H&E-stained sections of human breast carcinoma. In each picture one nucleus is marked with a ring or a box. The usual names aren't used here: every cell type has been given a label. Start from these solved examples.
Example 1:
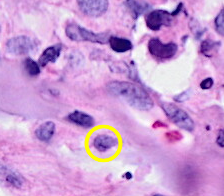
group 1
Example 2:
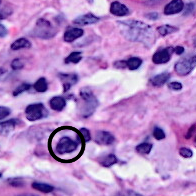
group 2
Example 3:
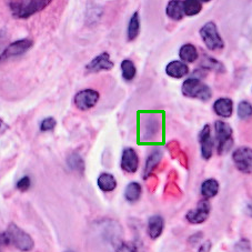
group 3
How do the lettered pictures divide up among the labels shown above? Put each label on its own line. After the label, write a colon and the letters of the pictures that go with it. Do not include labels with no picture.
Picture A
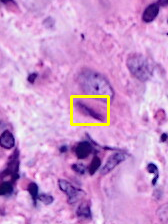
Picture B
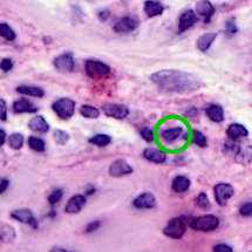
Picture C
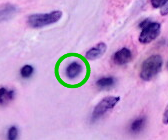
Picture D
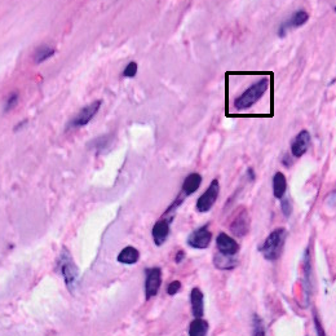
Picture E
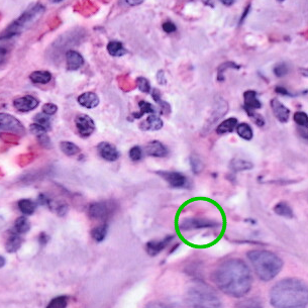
group 1: D
group 2: B, C
group 3: A, E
